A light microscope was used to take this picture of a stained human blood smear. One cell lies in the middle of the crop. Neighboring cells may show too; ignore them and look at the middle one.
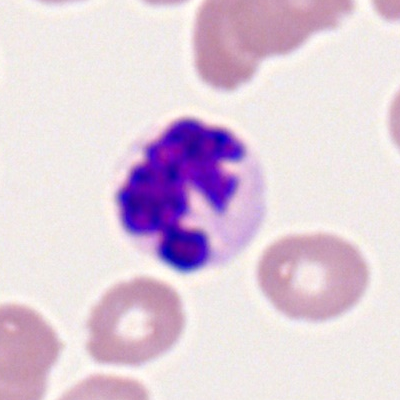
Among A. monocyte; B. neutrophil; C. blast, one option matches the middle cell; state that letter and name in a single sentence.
The cell in the middle is a neutrophil, and so option B is correct.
